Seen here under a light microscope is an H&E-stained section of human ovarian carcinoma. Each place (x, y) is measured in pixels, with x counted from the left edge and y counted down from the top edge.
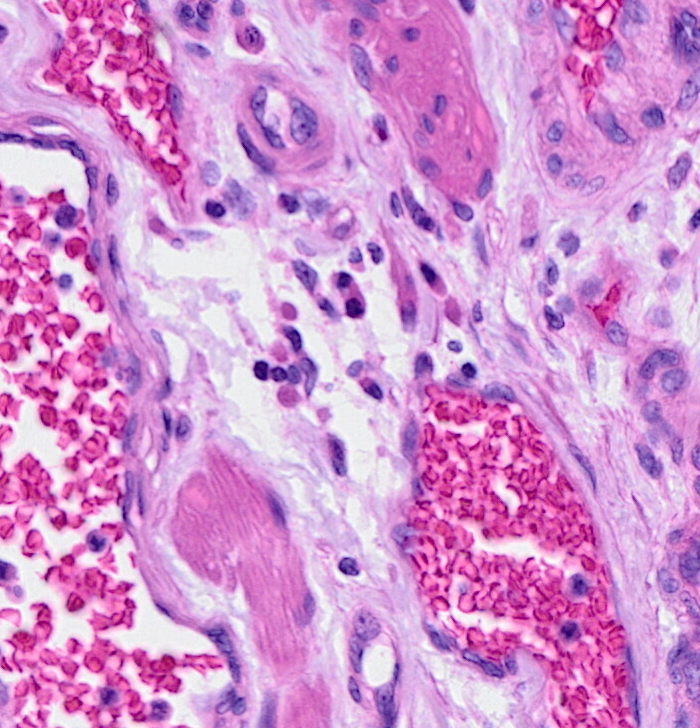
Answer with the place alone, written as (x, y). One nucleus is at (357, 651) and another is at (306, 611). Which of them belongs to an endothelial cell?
(357, 651)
